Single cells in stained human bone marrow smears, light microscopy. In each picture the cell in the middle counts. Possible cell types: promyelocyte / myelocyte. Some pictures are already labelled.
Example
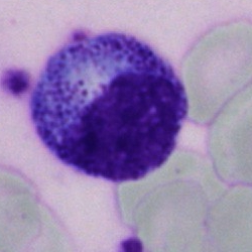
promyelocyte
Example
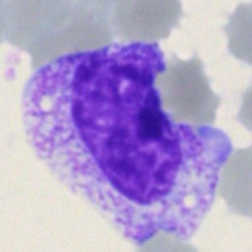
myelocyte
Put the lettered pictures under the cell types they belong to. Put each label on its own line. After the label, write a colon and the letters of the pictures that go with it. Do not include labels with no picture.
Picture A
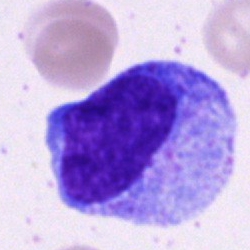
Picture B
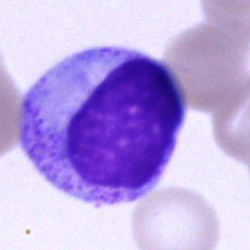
promyelocyte: A
myelocyte: B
